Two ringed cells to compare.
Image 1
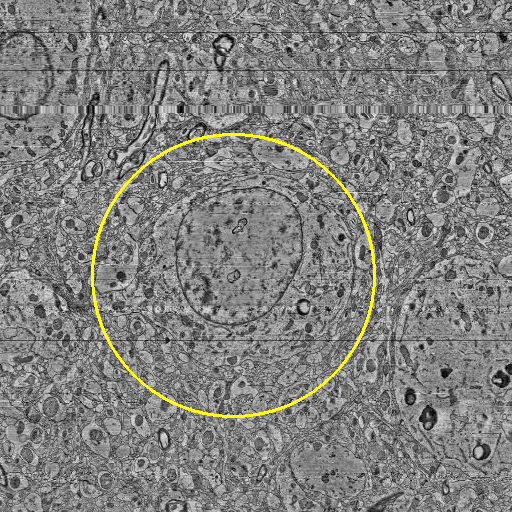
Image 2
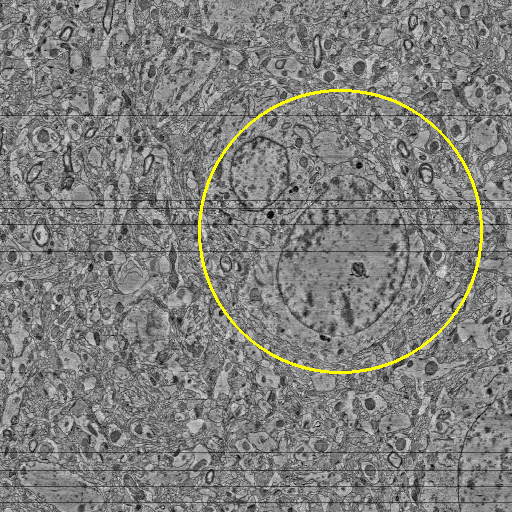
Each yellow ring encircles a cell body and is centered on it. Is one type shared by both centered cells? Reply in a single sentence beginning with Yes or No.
Yes, a single type is shared by the two cells at the centers of the rings.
